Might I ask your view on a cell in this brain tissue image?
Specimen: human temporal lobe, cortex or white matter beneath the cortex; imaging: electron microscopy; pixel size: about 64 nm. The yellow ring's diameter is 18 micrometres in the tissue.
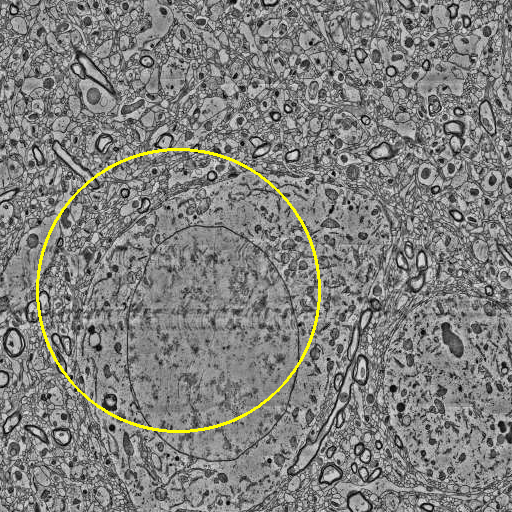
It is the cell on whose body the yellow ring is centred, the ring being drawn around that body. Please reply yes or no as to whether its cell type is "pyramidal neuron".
yes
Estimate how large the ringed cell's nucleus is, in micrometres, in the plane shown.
Roughly 15 by 12 micrometres is the size of the nucleus in this plane.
